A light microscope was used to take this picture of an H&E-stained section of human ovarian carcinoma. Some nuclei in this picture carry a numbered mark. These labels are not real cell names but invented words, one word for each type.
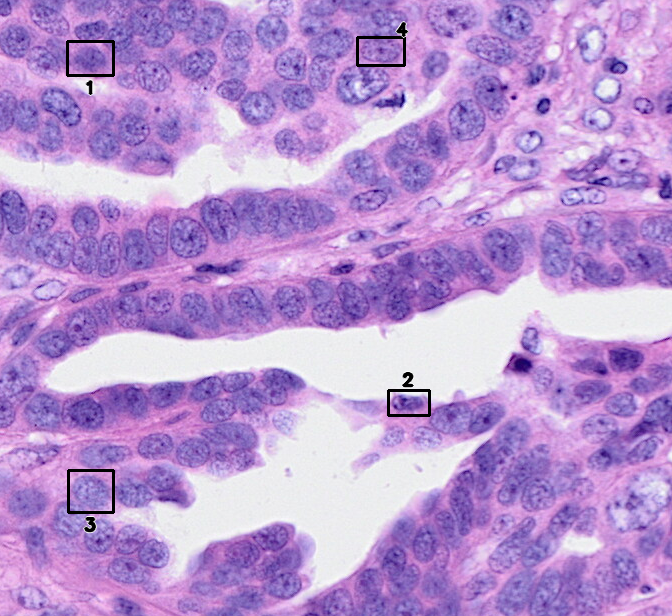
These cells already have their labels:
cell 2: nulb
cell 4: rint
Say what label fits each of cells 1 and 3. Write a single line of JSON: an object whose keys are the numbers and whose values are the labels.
{"1": "rint", "3": "rint"}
